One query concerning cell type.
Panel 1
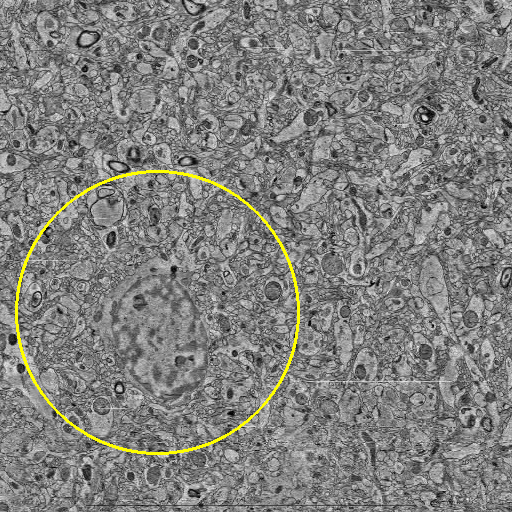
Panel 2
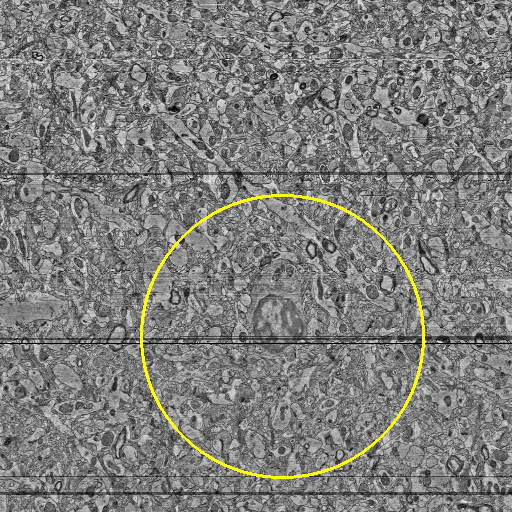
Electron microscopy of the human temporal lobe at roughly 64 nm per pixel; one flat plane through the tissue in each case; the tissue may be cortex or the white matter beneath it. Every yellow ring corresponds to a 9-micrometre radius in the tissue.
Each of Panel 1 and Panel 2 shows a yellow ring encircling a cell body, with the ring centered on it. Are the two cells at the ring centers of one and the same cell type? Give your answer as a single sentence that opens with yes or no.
Yes, the cell centered in Panel 1 and the one in Panel 2 share a type.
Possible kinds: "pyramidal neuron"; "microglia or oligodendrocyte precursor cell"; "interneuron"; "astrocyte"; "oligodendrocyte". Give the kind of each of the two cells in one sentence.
Both the first and the second picture show an oligodendrocyte in the ring.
